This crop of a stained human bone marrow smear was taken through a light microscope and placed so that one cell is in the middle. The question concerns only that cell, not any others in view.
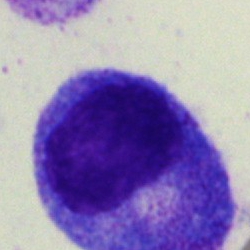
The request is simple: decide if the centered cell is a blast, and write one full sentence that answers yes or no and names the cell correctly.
No, the central cell does not represent a blast, but a promyelocyte.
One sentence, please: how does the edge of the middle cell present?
Thanks for asking; the cell edge is smooth and has no projections.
